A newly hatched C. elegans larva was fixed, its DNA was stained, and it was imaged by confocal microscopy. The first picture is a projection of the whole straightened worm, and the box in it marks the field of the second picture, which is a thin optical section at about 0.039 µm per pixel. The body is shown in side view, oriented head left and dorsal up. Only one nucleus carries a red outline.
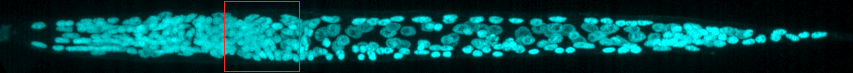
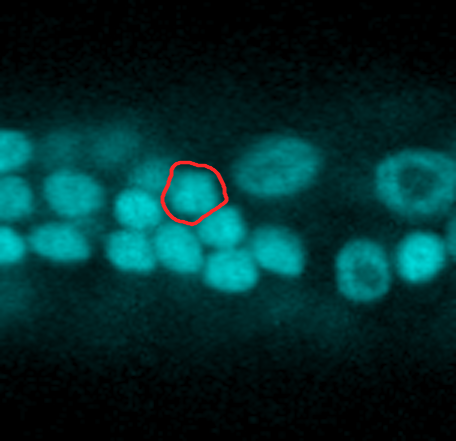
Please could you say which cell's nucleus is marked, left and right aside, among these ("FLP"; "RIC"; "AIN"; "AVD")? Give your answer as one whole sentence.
The marked cell is AIN, a neuron.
